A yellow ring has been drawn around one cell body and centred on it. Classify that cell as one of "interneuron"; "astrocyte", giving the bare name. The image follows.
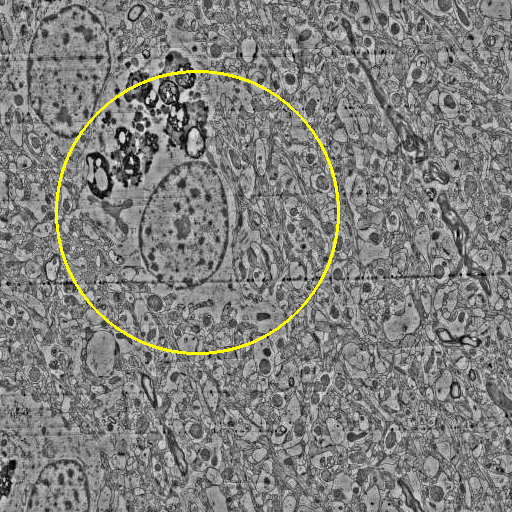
astrocyte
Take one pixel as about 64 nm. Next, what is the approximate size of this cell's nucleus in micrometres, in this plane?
Approximately 8 micrometres long and 6 micrometres wide, in this plane.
